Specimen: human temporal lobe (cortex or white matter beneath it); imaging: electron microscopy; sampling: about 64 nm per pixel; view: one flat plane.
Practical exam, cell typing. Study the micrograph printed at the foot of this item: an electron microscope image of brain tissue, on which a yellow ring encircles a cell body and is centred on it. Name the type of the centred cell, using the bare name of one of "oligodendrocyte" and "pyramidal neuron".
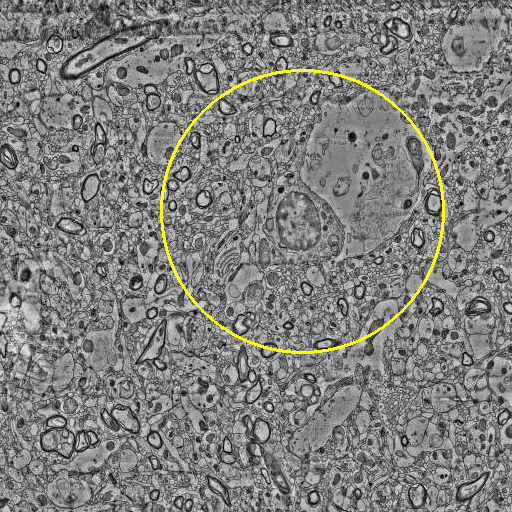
oligodendrocyte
